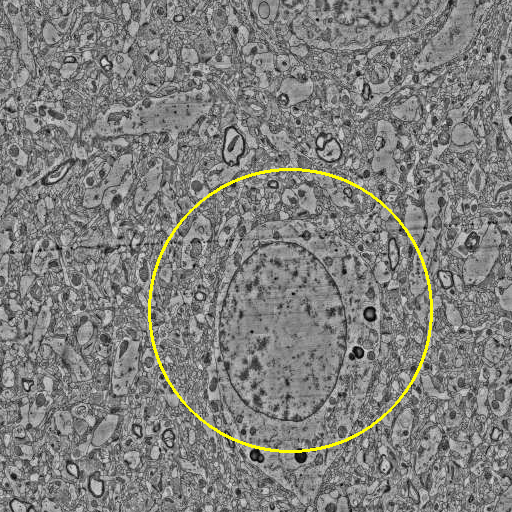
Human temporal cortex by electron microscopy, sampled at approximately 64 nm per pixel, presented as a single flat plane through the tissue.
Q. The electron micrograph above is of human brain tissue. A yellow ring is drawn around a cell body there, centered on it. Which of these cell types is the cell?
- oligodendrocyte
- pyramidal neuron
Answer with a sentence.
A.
The cell under the ring's center is a pyramidal neuron.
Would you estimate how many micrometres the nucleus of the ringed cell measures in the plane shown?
The nucleus comes to roughly 11 by 8 micrometres in this plane.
